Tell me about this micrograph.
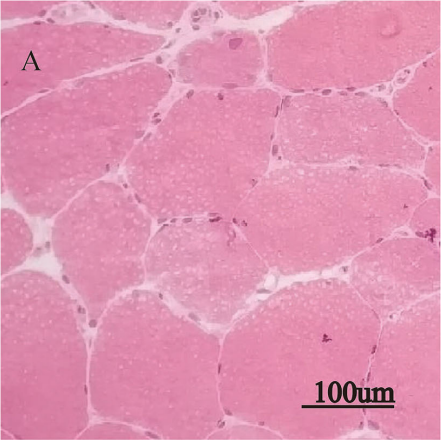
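This is skeletal muscle cut in cross-section, showing large polygonal muscle fibers stained pink. The fibers are separated by thin pale connective tissue septa in which small dark nuclei sit at the fiber edges. Fiber sizes vary somewhat, and the vacuoles give the cytoplasm a speckled, bubbly appearance instead of a smooth pink one.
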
